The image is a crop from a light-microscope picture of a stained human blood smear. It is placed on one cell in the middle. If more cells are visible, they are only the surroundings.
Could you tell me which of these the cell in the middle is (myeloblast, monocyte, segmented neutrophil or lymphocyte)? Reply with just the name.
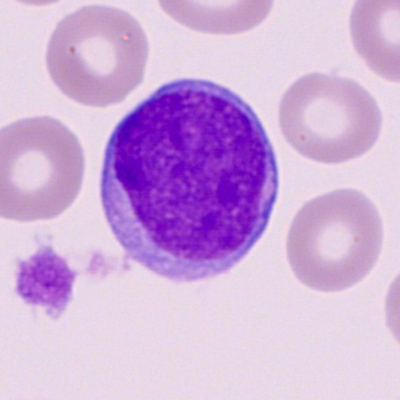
myeloblast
